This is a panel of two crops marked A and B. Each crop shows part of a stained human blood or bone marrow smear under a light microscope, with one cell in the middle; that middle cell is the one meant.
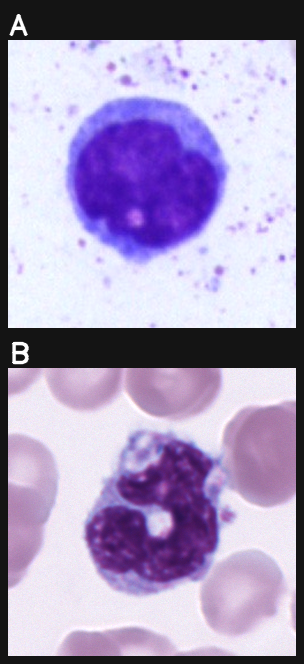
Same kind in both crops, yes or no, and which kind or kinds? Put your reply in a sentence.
Yes, the cells placed at the centre of both crops are monocytes.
